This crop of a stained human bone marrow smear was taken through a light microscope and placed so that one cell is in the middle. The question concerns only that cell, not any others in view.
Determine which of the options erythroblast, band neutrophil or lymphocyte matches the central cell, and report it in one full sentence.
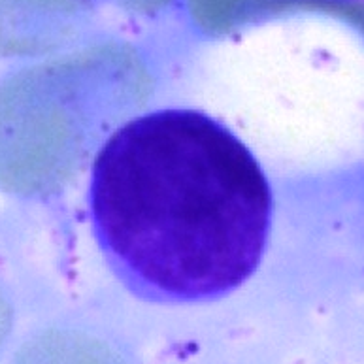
The crop shows a lymphocyte in its centre.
